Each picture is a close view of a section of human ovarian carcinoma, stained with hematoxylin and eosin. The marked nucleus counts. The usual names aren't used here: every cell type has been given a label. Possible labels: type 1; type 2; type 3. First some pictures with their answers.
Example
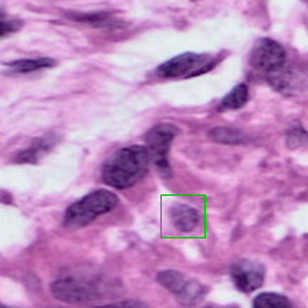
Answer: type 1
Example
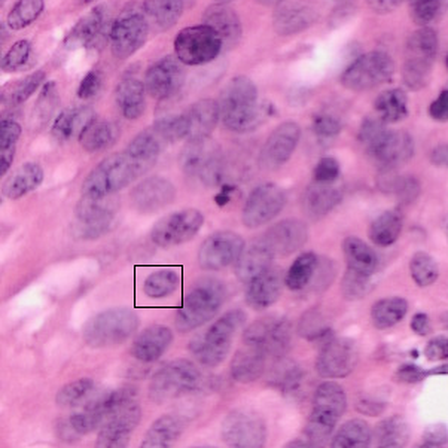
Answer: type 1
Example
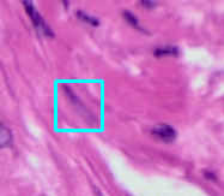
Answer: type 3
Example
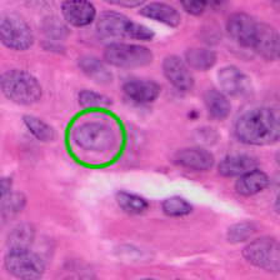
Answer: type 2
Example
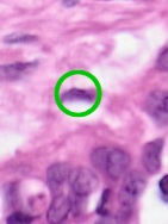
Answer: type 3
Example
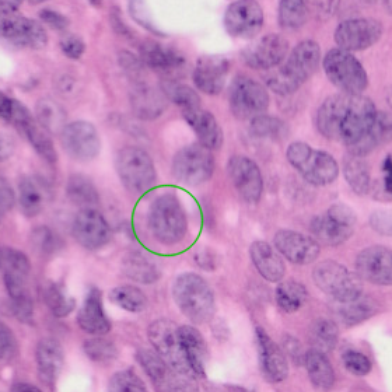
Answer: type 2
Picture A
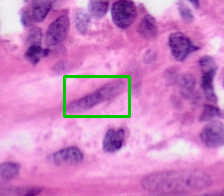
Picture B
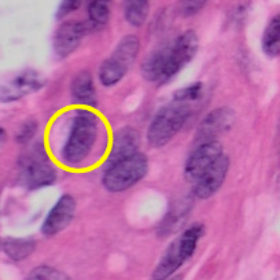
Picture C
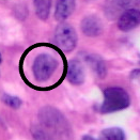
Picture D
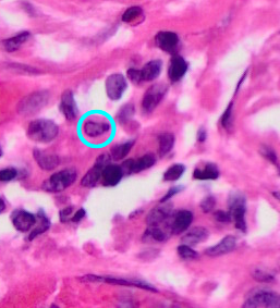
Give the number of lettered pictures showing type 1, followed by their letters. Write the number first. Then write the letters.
2, namely C, D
